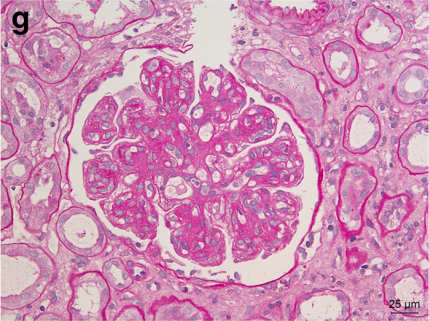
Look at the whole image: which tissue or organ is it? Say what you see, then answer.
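A round tuft of lobulated capillary loops sits inside a capsule with a clear space around it. Tubules cut in cross-section surround the tuft. That points to this answer: glomeruli.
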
